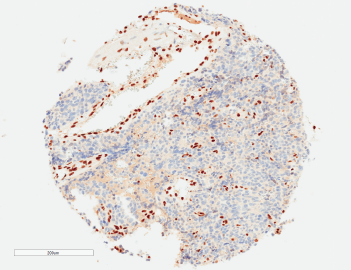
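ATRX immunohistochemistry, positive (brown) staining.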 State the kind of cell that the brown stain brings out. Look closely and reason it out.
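Brown-stained nuclei are scattered among many blue-stained nuclei. Brown nuclei cluster along an elongated band crossing the core. The answer: cells of the microenvironment.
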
